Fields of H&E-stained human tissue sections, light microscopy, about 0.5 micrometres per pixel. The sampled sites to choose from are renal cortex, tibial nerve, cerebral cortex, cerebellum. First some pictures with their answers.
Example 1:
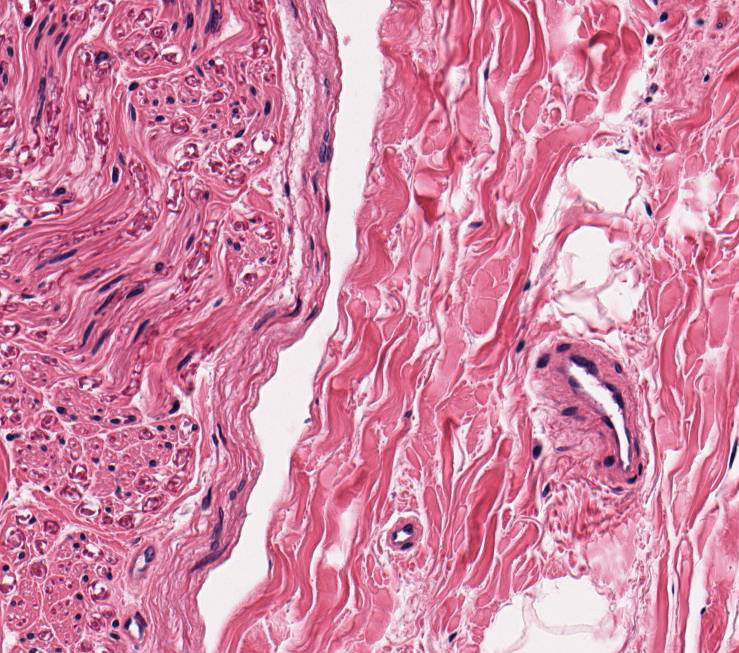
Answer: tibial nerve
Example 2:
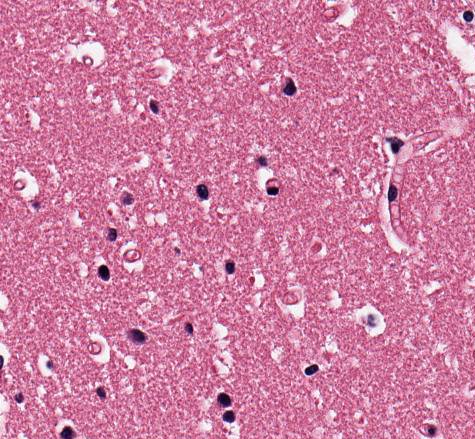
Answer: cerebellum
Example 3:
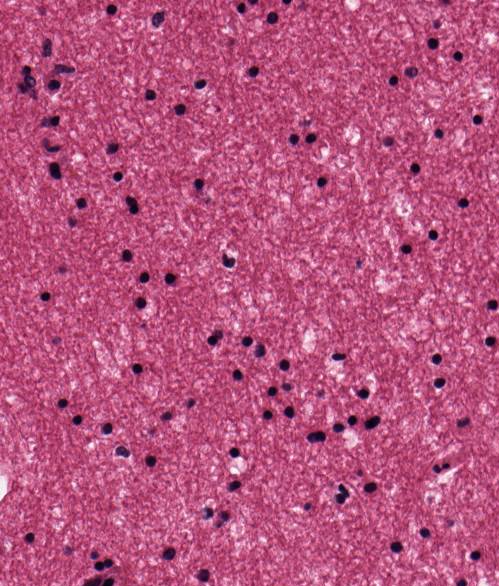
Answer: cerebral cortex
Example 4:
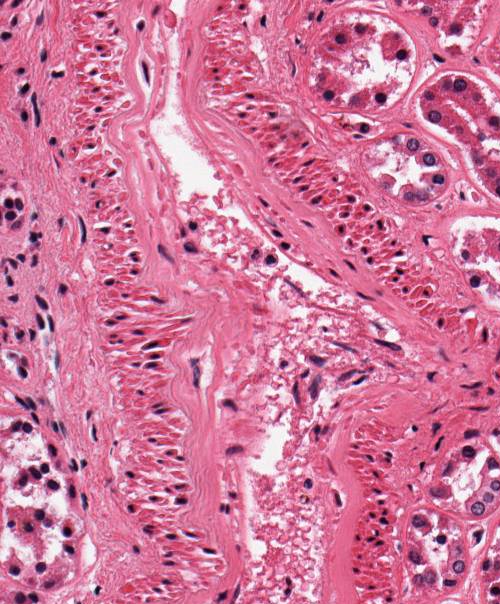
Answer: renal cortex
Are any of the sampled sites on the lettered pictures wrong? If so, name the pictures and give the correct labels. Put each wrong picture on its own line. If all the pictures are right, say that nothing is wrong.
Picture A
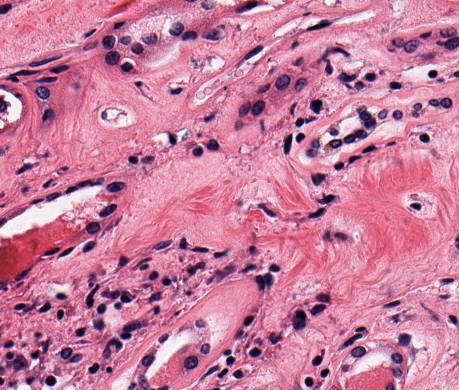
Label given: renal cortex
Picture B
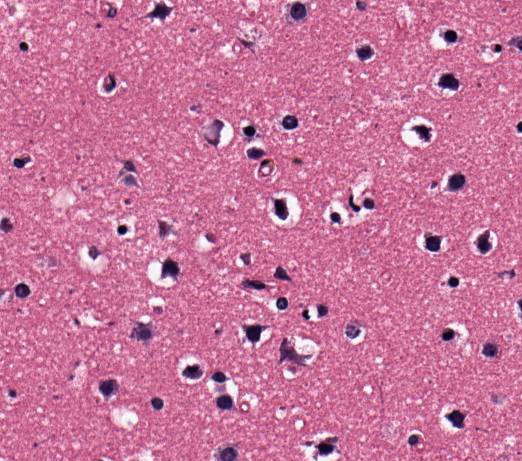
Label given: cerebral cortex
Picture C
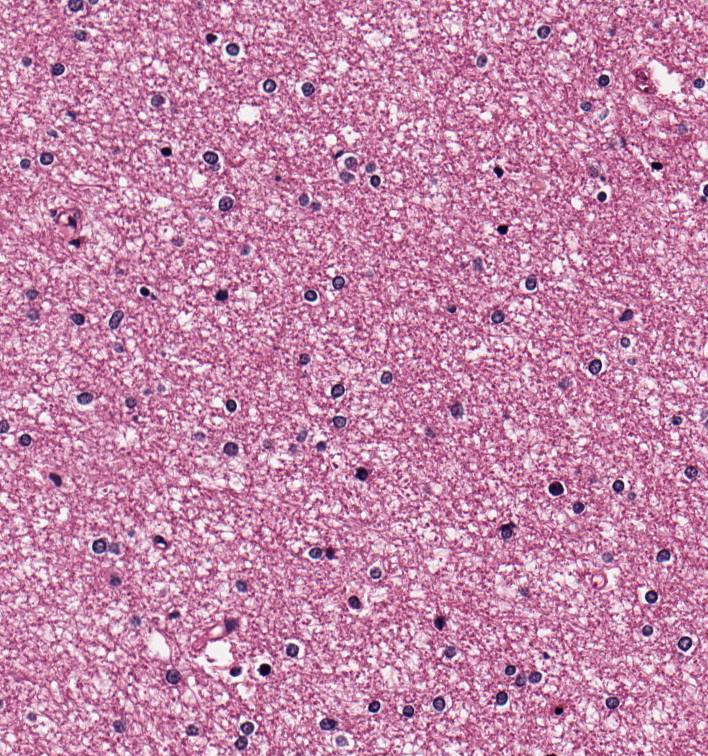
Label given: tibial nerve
C: change tibial nerve to cerebral cortex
